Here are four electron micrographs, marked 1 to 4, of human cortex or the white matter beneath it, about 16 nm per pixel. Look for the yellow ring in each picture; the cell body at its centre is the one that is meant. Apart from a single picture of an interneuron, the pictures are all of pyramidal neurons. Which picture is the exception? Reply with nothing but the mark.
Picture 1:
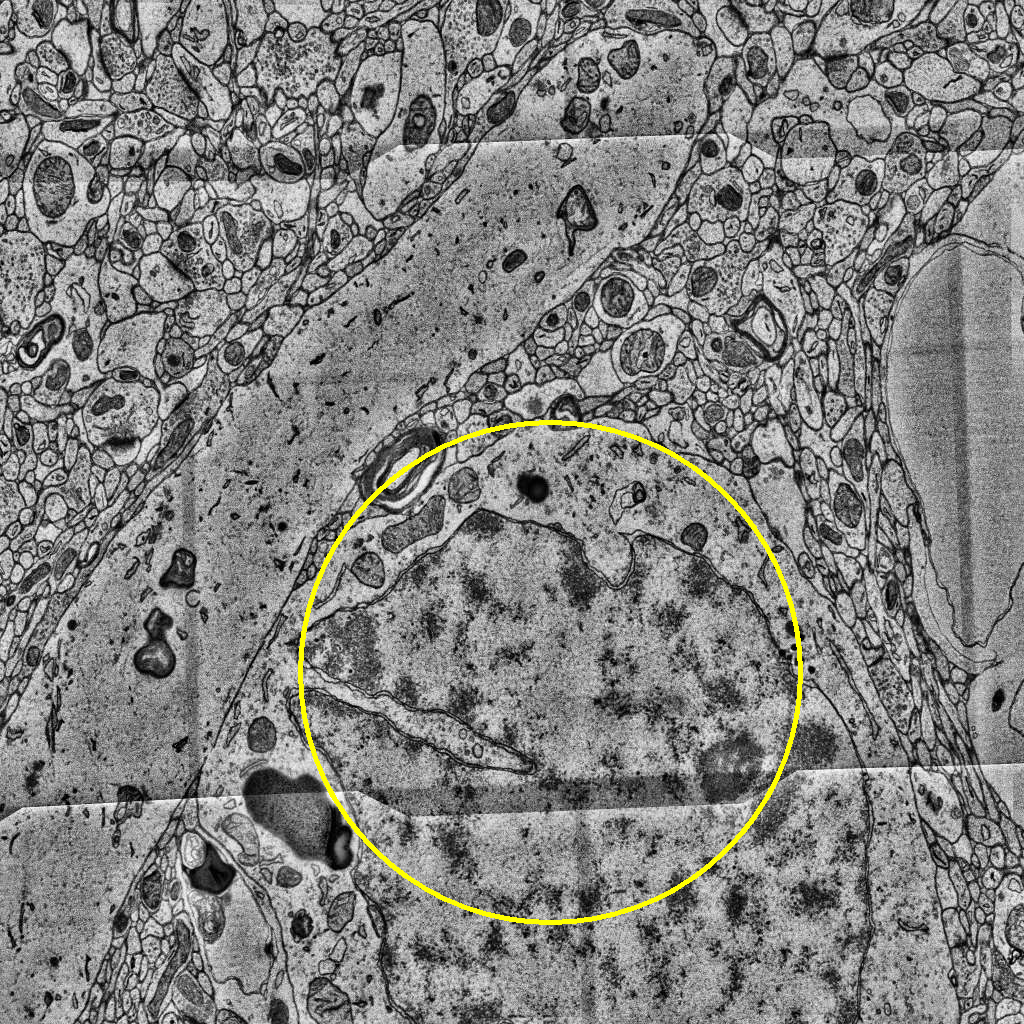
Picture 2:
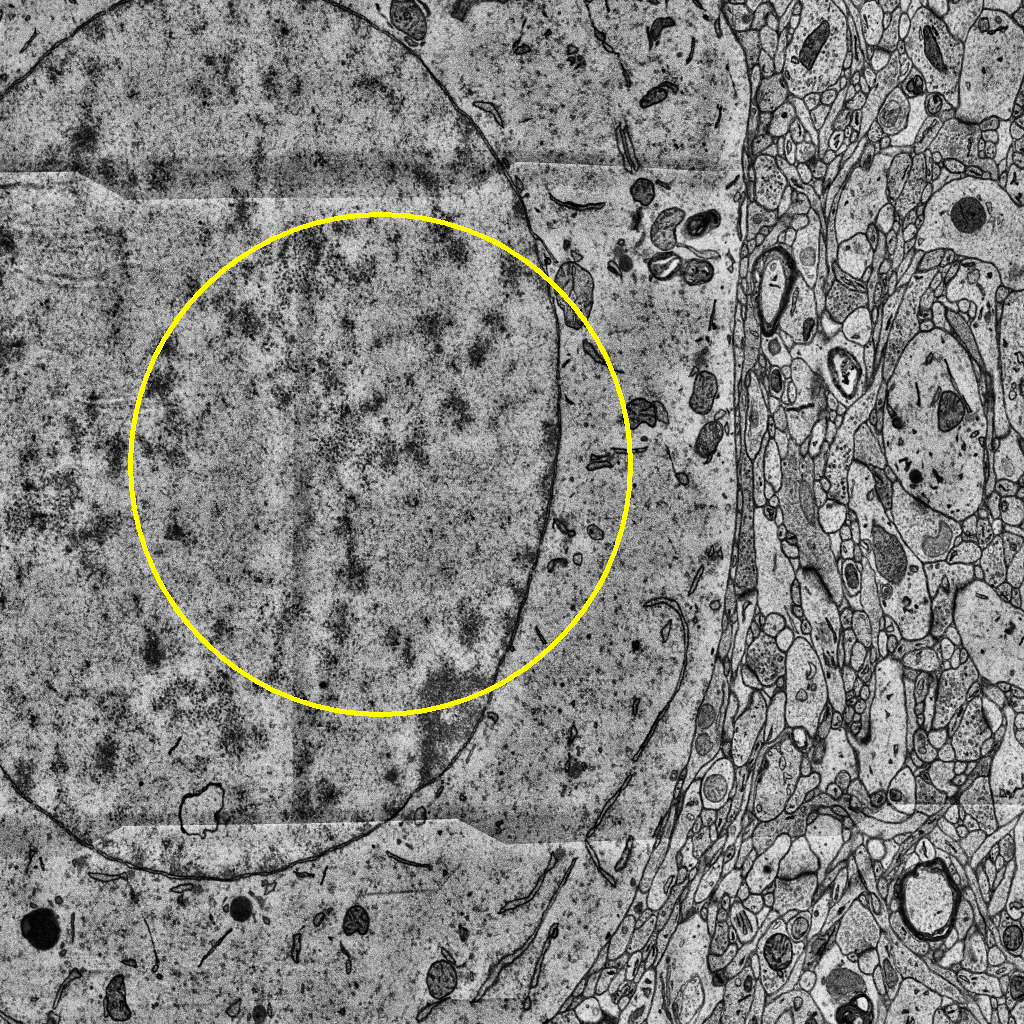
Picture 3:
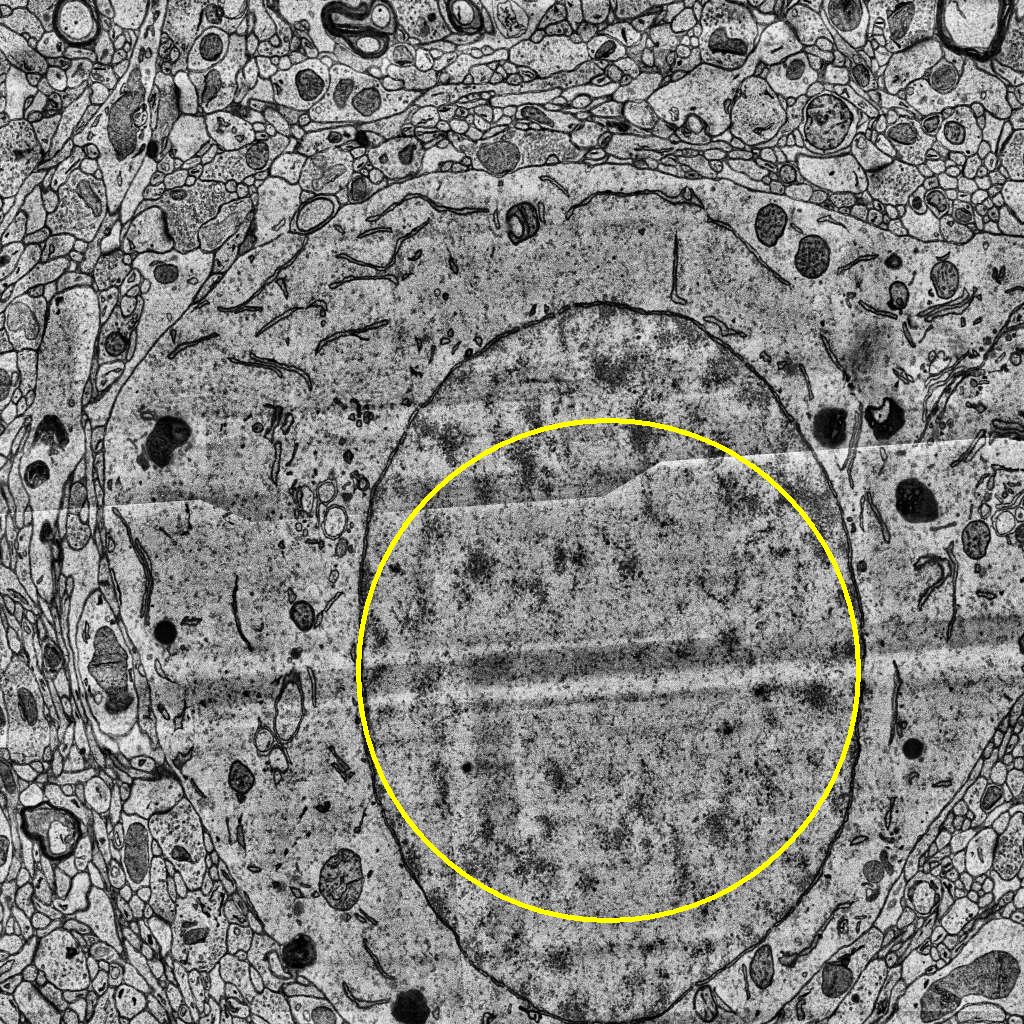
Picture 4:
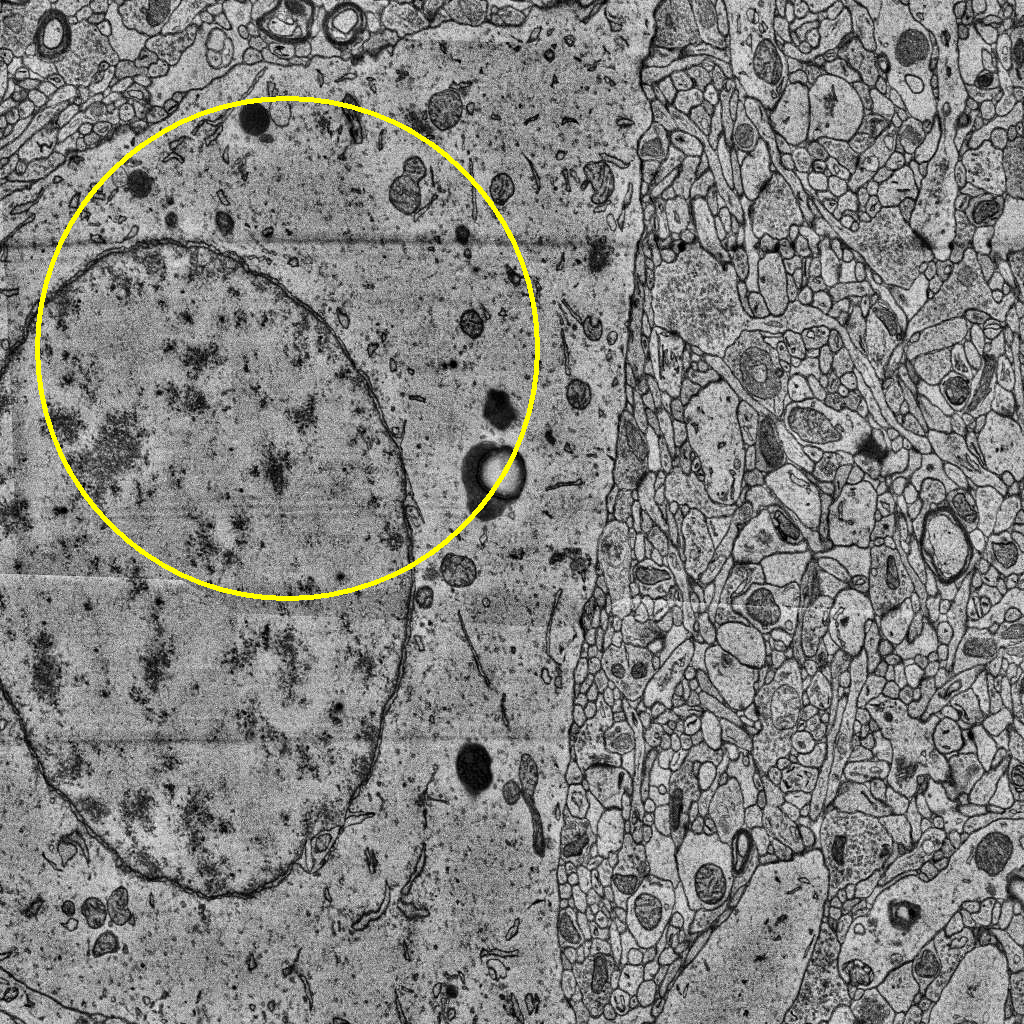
1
